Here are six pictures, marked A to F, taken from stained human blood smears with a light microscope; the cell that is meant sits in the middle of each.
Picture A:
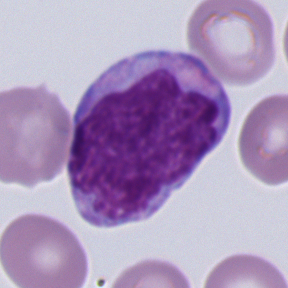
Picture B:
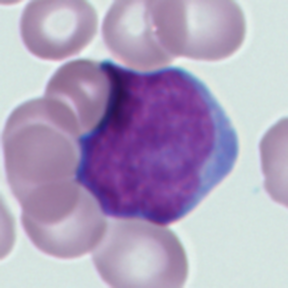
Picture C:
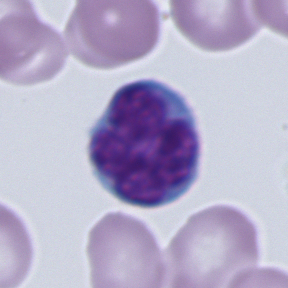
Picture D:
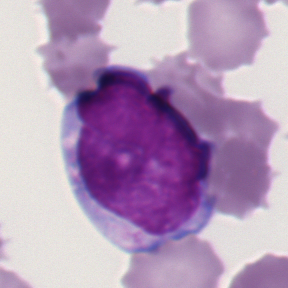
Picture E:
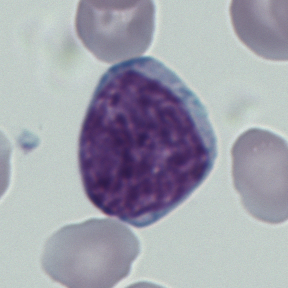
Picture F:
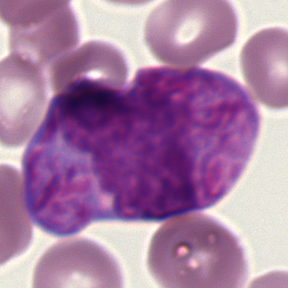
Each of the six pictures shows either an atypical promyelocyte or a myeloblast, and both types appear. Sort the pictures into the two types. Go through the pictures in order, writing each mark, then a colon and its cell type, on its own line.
A: atypical promyelocyte
B: myeloblast
C: myeloblast
D: myeloblast
E: myeloblast
F: atypical promyelocyte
